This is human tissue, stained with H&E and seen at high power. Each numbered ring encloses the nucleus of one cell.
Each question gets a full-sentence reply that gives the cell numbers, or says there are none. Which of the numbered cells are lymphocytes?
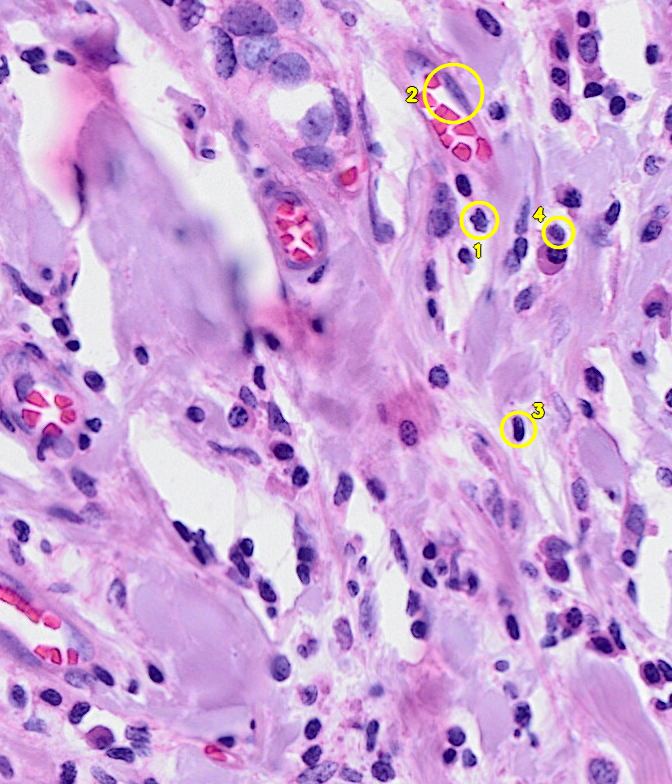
The cells with labels 1, 3 and 4 are lymphocytes.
